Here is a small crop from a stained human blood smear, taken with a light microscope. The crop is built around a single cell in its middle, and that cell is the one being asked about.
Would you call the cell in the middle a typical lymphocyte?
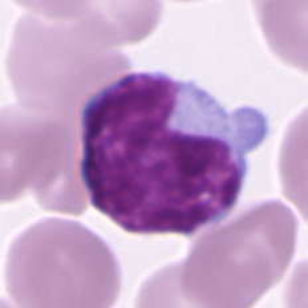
no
